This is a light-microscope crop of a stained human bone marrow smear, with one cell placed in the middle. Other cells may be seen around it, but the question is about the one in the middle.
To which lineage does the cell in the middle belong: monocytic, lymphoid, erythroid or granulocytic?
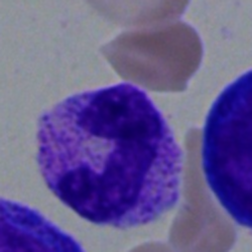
granulocytic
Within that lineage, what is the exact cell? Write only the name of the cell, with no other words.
band neutrophil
